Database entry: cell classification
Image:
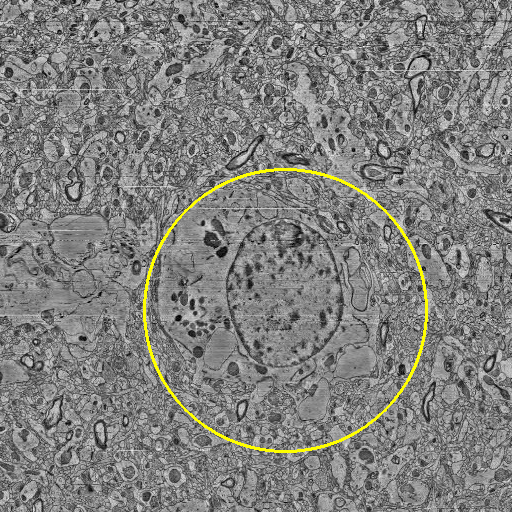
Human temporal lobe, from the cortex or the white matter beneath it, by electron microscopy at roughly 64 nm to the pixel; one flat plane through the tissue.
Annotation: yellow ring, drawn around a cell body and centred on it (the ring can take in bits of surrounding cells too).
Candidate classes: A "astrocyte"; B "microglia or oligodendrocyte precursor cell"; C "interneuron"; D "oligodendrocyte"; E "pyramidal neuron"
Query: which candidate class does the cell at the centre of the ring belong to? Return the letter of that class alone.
A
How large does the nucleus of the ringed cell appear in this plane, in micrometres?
About 10 by 7 micrometers, in this plane.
